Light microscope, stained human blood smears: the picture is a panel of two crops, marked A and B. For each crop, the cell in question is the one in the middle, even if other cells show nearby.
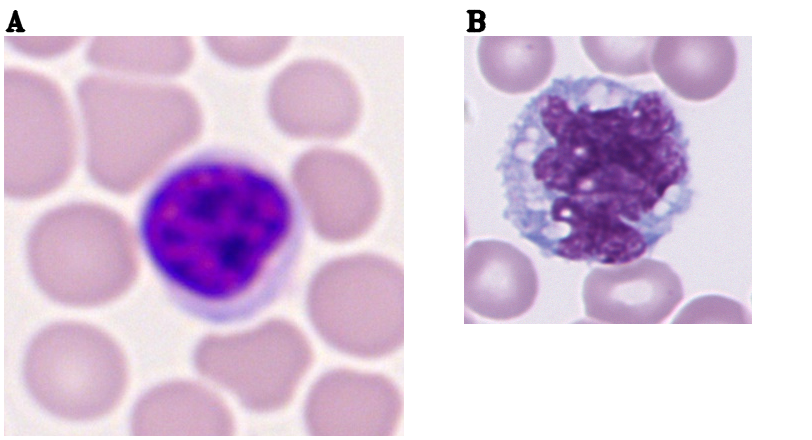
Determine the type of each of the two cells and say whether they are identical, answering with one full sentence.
No, a monocyte is the cell in crop B, and crop A contains a lymphocyte.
